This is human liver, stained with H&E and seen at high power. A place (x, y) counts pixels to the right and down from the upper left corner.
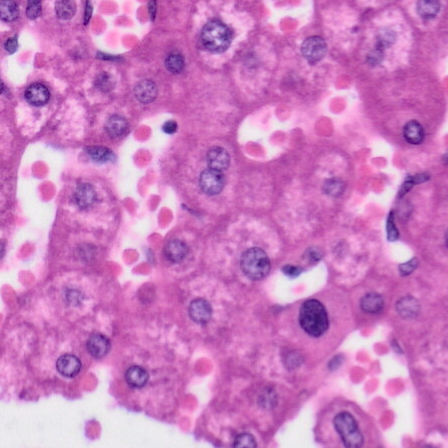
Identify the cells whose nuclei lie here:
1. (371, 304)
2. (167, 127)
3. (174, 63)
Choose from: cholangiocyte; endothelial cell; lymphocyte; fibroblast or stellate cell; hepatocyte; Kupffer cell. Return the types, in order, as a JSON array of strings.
["hepatocyte", "lymphocyte", "hepatocyte"]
